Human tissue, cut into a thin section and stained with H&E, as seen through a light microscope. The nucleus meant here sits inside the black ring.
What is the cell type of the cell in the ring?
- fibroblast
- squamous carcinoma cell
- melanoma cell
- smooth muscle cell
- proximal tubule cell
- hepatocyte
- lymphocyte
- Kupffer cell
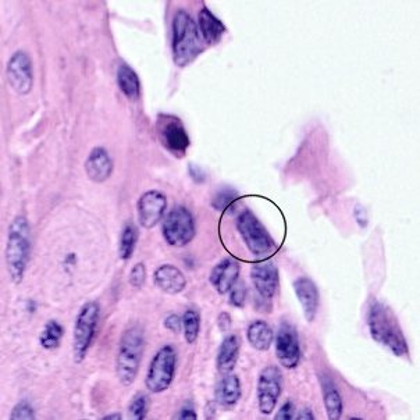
squamous carcinoma cell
